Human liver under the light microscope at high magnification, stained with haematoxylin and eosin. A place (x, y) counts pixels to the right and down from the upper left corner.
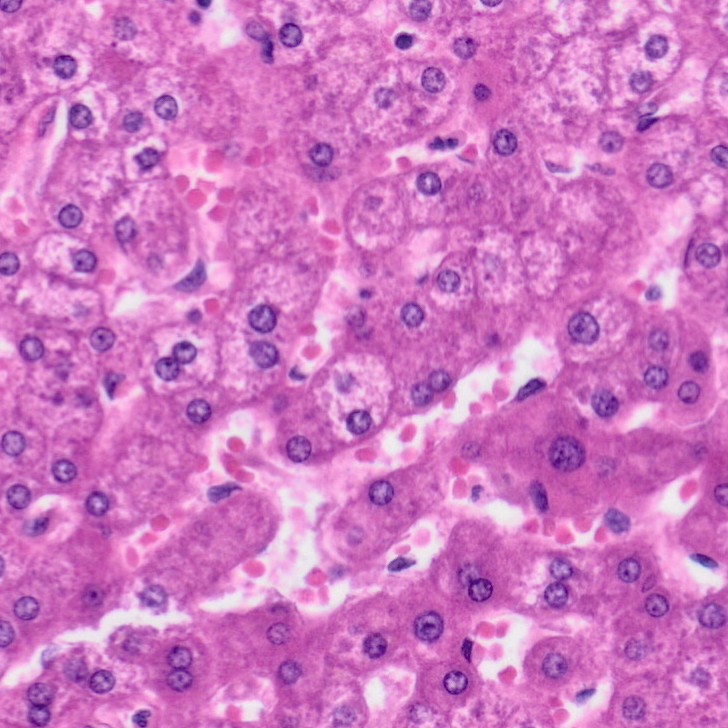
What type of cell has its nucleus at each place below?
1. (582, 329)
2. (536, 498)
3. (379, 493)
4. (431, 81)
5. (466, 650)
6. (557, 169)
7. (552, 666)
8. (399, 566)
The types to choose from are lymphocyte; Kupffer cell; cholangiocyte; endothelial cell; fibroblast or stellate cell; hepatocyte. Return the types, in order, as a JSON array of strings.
["hepatocyte", "fibroblast or stellate cell", "hepatocyte", "hepatocyte", "fibroblast or stellate cell", "endothelial cell", "hepatocyte", "endothelial cell"]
